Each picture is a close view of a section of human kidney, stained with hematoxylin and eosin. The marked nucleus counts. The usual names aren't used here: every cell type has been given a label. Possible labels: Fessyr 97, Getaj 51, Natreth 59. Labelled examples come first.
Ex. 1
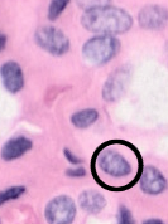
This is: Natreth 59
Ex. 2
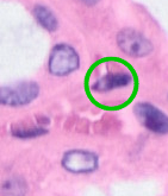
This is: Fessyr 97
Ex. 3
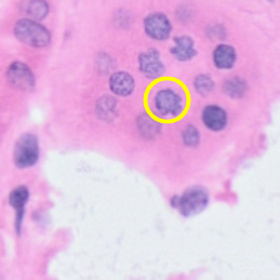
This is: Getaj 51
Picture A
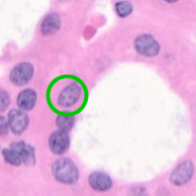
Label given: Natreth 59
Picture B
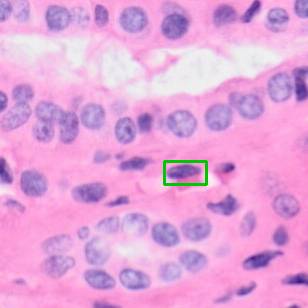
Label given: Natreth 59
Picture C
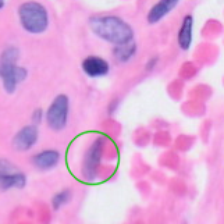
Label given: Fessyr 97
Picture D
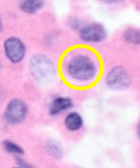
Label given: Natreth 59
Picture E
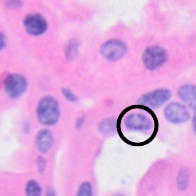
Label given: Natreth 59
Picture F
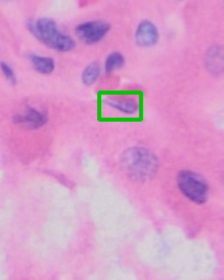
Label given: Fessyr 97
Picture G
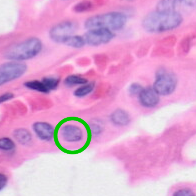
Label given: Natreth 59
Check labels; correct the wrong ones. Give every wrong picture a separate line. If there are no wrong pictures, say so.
B: change Natreth 59 to Fessyr 97
D: change Natreth 59 to Getaj 51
